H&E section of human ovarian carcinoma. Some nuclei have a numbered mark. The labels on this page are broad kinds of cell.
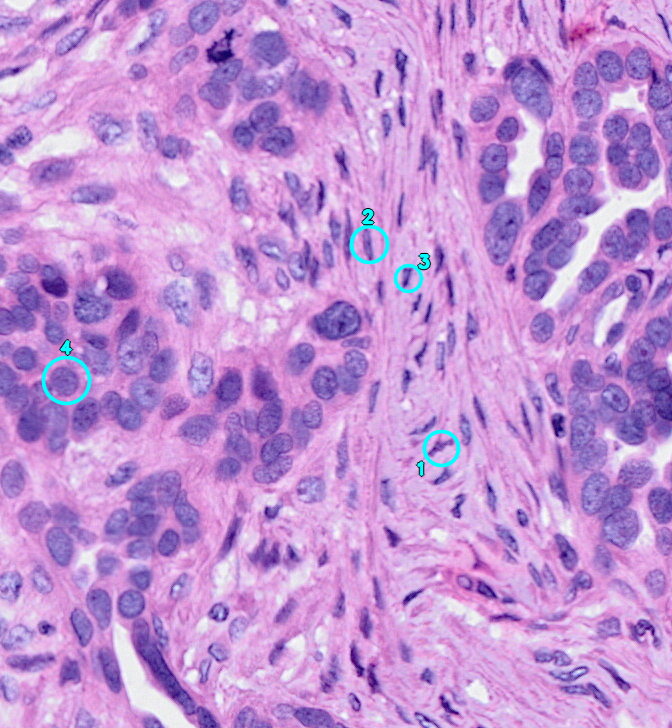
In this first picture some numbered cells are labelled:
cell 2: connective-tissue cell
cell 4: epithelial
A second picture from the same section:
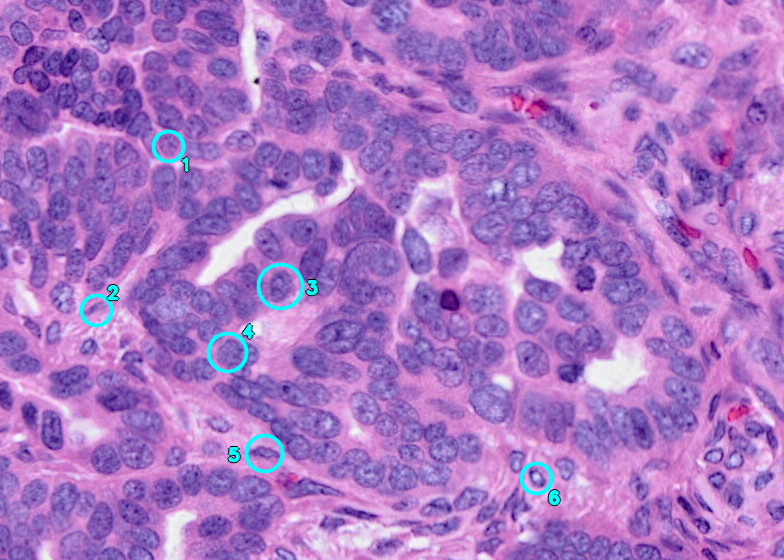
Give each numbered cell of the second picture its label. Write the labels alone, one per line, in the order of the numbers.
epithelial
connective-tissue cell
epithelial
epithelial
connective-tissue cell
connective-tissue cell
